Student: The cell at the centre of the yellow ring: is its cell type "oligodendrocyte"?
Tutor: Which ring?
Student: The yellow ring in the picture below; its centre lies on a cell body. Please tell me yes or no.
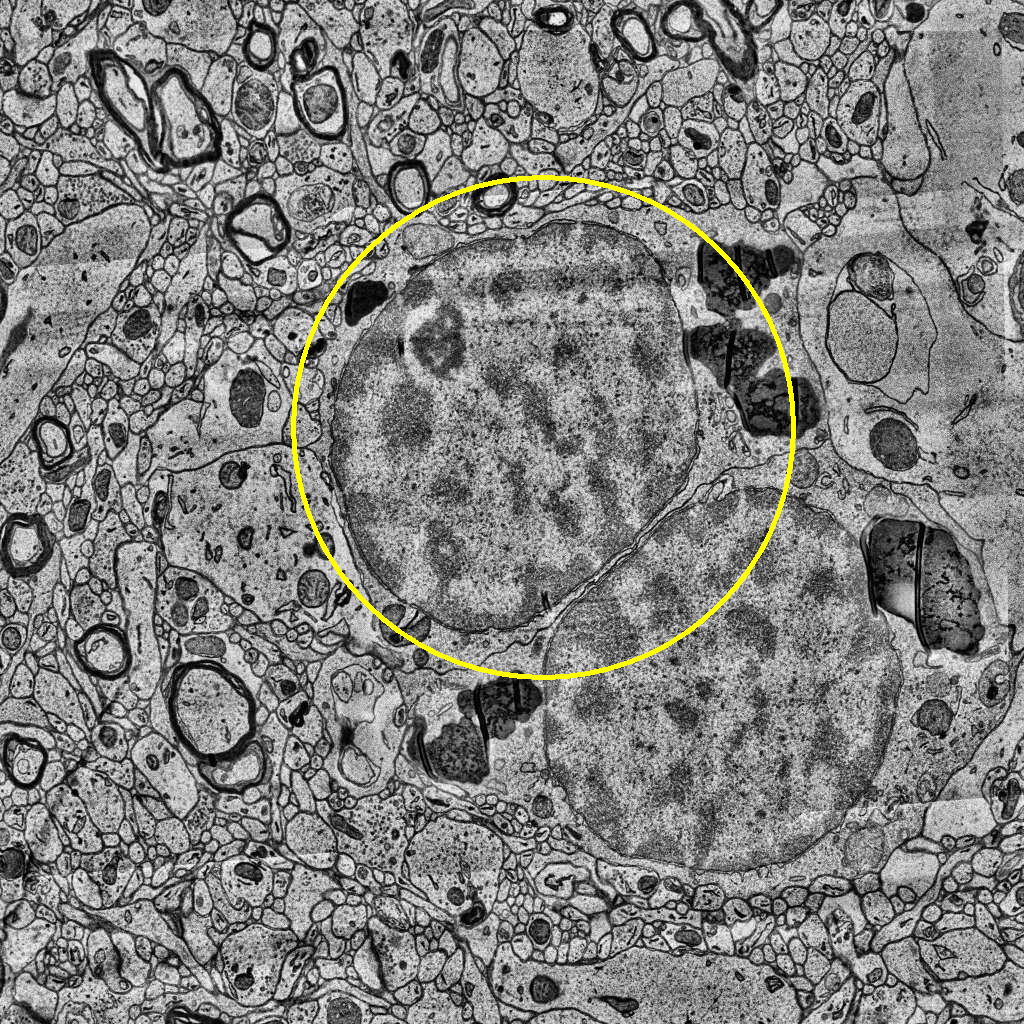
yes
